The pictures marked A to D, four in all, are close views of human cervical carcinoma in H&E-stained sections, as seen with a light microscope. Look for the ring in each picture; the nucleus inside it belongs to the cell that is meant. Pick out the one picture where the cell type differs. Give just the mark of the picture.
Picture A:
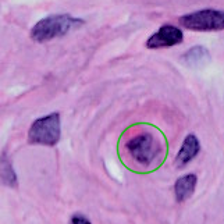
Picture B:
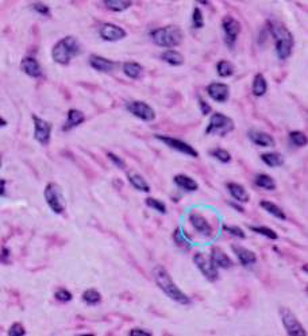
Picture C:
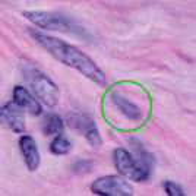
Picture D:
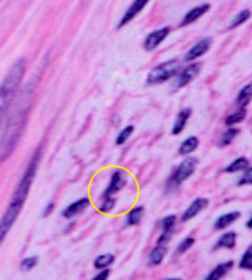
A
